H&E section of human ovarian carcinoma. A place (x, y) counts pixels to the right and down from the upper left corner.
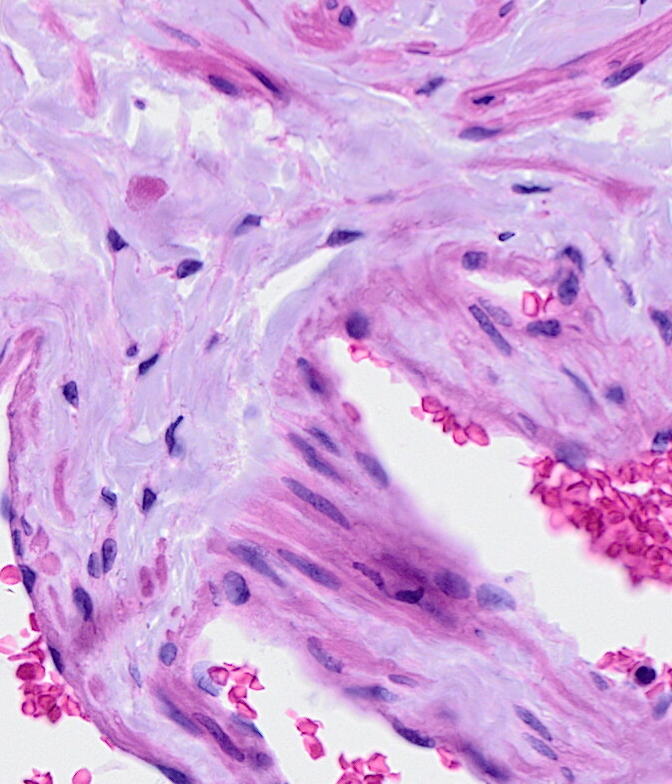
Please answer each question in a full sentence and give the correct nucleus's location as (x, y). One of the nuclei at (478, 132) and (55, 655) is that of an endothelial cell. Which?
Among the two nuclei, the one lying at (55, 655) is part of an endothelial cell.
